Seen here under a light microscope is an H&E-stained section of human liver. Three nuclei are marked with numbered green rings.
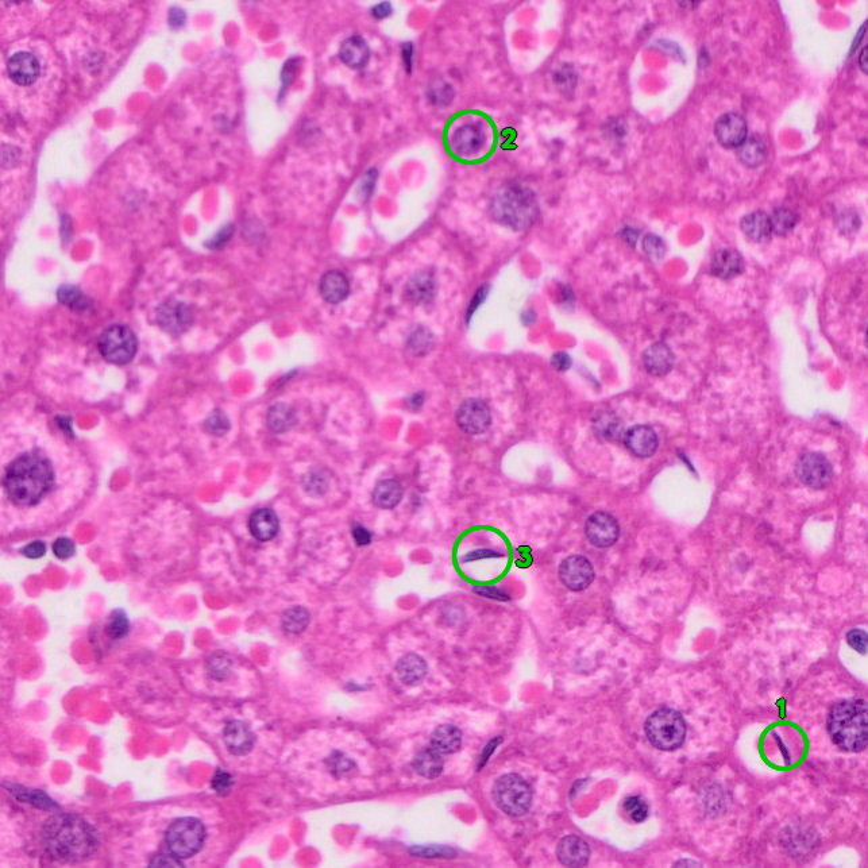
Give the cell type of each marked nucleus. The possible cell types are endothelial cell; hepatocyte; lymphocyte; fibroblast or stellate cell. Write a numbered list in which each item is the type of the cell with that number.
1. endothelial cell
2. hepatocyte
3. endothelial cell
